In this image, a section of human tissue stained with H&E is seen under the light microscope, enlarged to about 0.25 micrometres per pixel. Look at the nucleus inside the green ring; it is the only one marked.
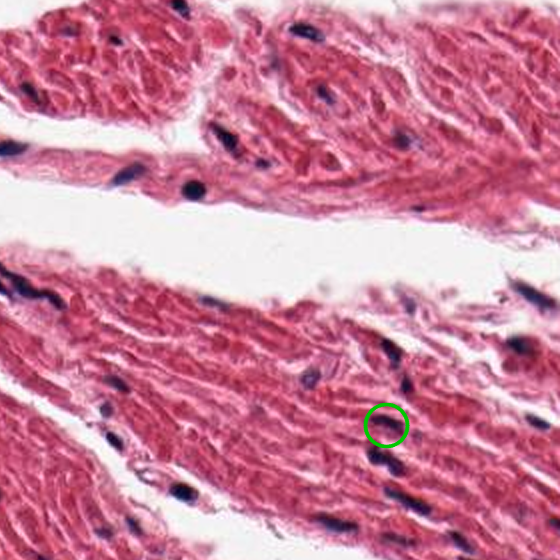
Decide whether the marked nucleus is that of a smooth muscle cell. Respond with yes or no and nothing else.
yes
